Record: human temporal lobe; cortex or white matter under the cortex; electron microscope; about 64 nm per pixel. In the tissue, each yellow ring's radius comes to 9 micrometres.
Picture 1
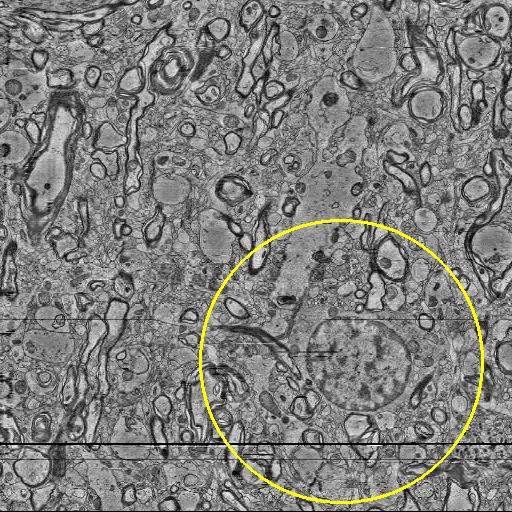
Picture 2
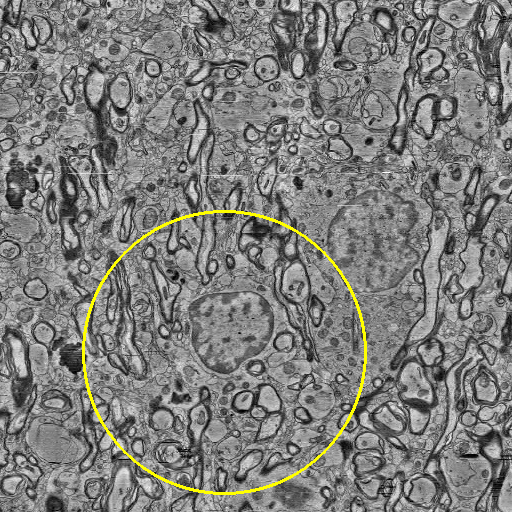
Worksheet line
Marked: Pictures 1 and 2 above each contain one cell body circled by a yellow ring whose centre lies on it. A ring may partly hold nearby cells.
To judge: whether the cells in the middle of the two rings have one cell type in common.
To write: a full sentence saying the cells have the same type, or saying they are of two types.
The cells in the middle of the rings in Picture 1 and Picture 2 are of two types.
